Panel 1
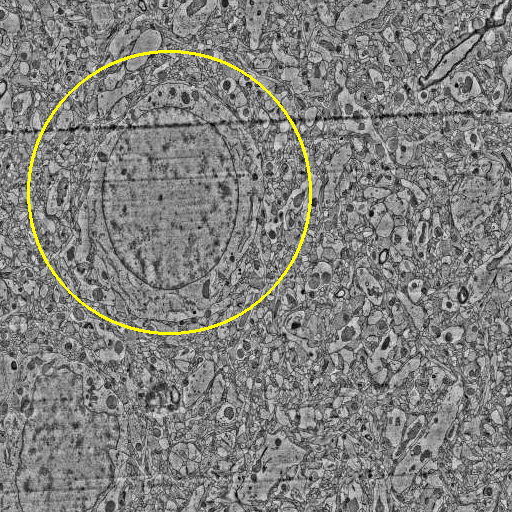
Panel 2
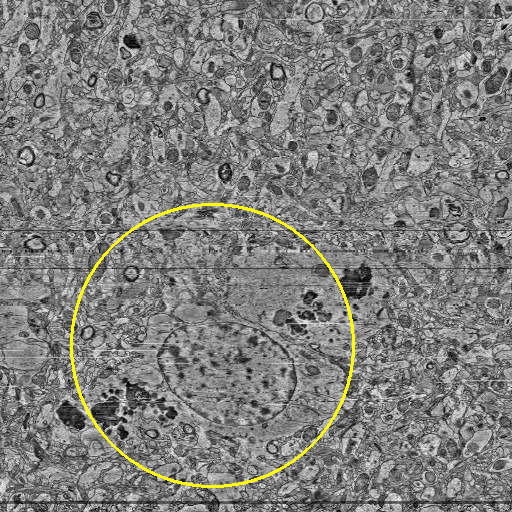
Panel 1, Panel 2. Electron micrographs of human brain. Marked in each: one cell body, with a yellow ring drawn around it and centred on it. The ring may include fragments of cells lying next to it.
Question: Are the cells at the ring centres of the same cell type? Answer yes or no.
no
